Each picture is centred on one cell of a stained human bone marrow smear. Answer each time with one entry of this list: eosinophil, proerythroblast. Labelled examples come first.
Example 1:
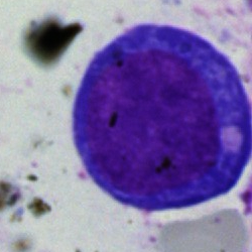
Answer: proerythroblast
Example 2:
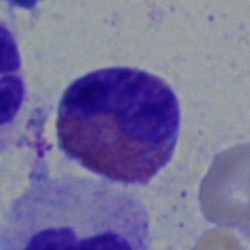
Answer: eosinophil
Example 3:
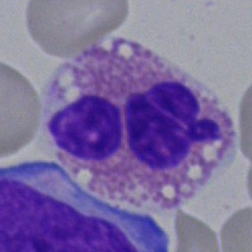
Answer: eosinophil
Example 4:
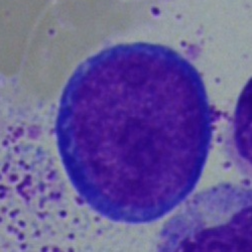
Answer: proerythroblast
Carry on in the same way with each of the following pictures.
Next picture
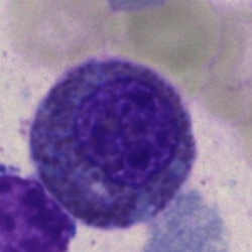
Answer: eosinophil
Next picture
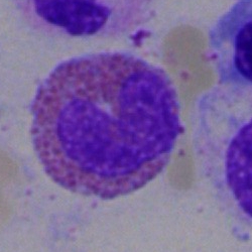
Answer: eosinophil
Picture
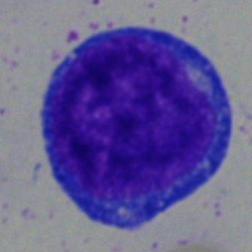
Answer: proerythroblast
